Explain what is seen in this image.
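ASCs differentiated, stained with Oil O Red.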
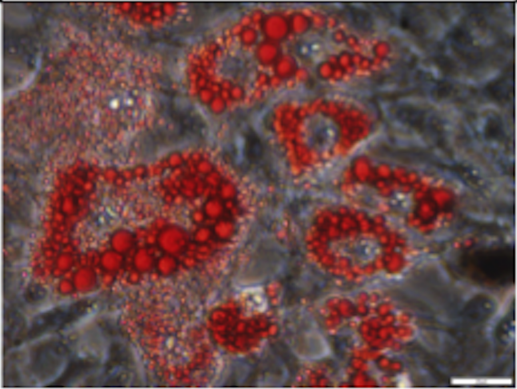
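The droplets are round and range from fine granules to large globules, packed into clusters that fill much of each cell's cytoplasm. In several cells the droplets ring a paler central area. Between the droplet-laden cells lie flattened cells with grey, unstained cytoplasm and faint outlines. Finer red granules are also scattered over parts of the background layer.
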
